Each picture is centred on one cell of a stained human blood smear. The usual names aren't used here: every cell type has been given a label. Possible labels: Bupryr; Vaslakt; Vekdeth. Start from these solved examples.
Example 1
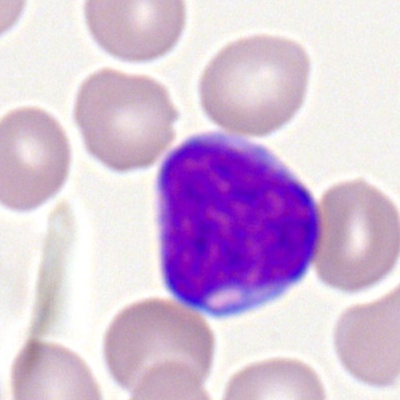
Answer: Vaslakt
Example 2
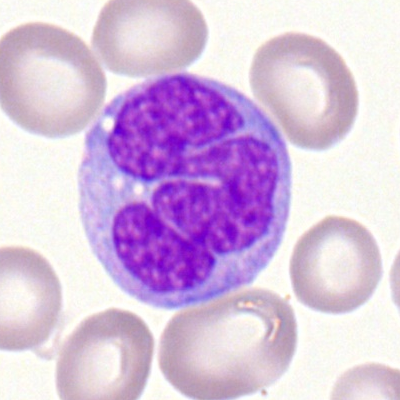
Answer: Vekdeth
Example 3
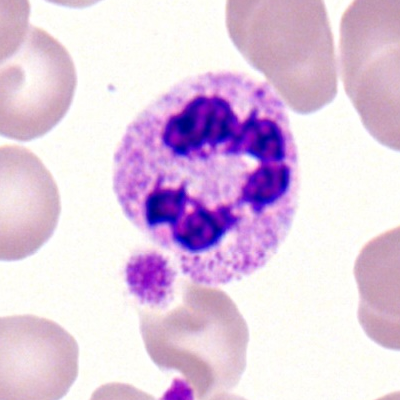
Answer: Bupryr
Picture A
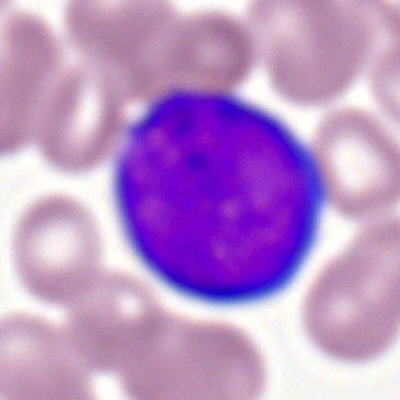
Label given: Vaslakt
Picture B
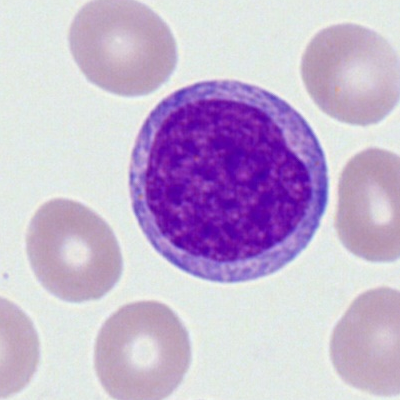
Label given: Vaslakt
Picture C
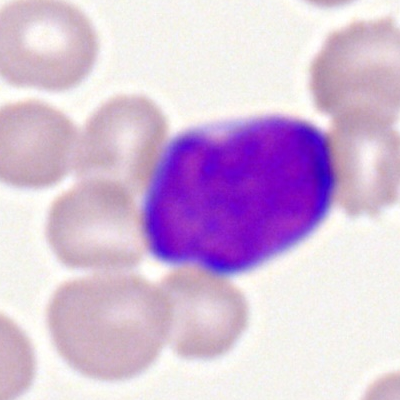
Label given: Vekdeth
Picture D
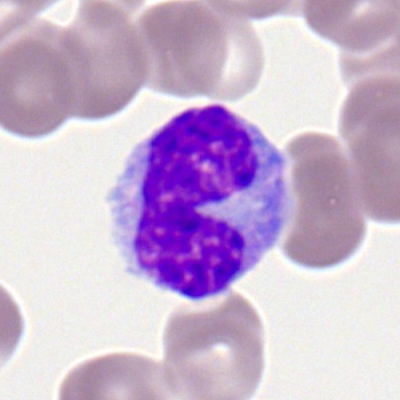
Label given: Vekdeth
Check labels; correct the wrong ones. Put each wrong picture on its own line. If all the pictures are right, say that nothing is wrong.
C should be Vaslakt, not Vekdeth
